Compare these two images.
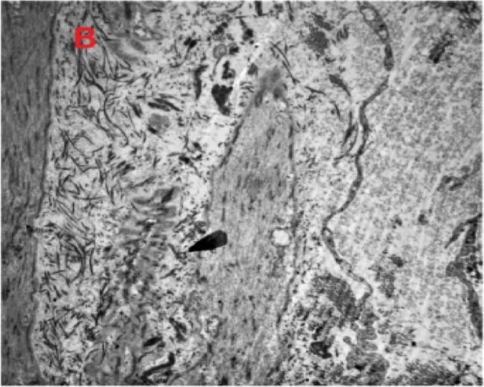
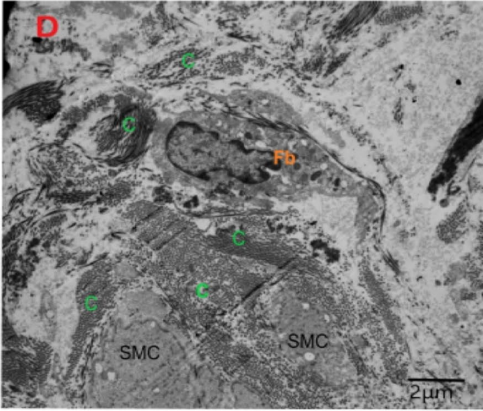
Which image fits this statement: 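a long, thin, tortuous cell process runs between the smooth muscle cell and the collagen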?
The first image.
